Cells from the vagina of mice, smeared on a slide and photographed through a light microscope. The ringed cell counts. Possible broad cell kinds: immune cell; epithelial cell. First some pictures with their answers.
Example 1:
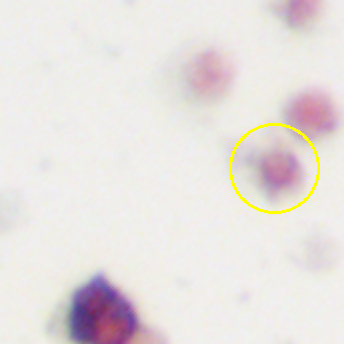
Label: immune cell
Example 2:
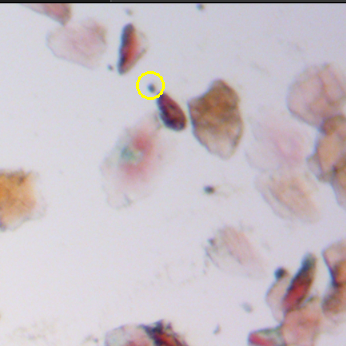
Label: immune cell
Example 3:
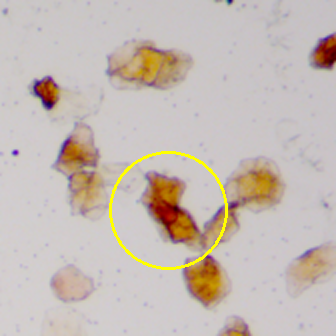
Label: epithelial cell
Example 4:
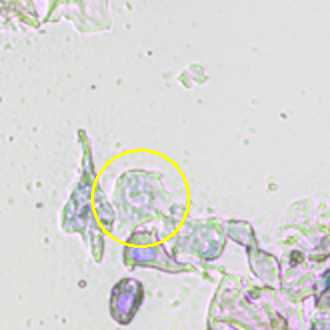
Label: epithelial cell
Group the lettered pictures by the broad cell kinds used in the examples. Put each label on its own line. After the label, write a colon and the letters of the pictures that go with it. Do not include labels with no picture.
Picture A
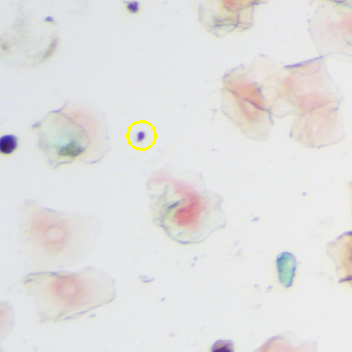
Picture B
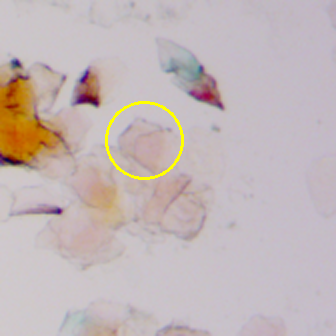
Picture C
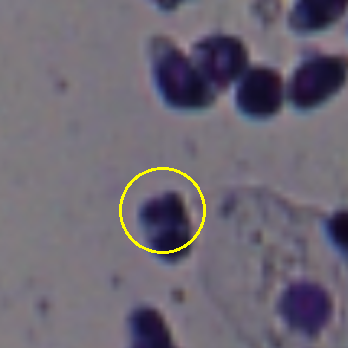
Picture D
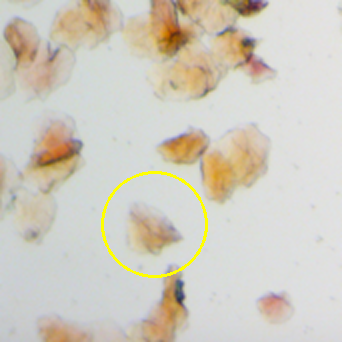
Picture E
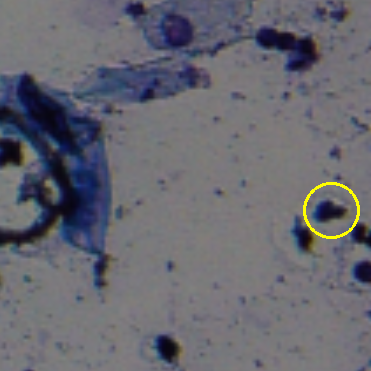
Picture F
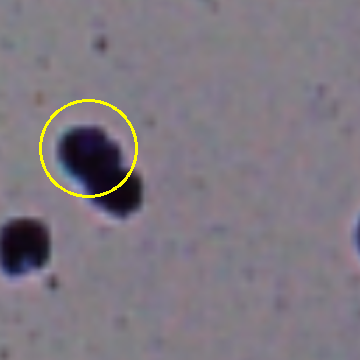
immune cell: A, C, E, F
epithelial cell: B, D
